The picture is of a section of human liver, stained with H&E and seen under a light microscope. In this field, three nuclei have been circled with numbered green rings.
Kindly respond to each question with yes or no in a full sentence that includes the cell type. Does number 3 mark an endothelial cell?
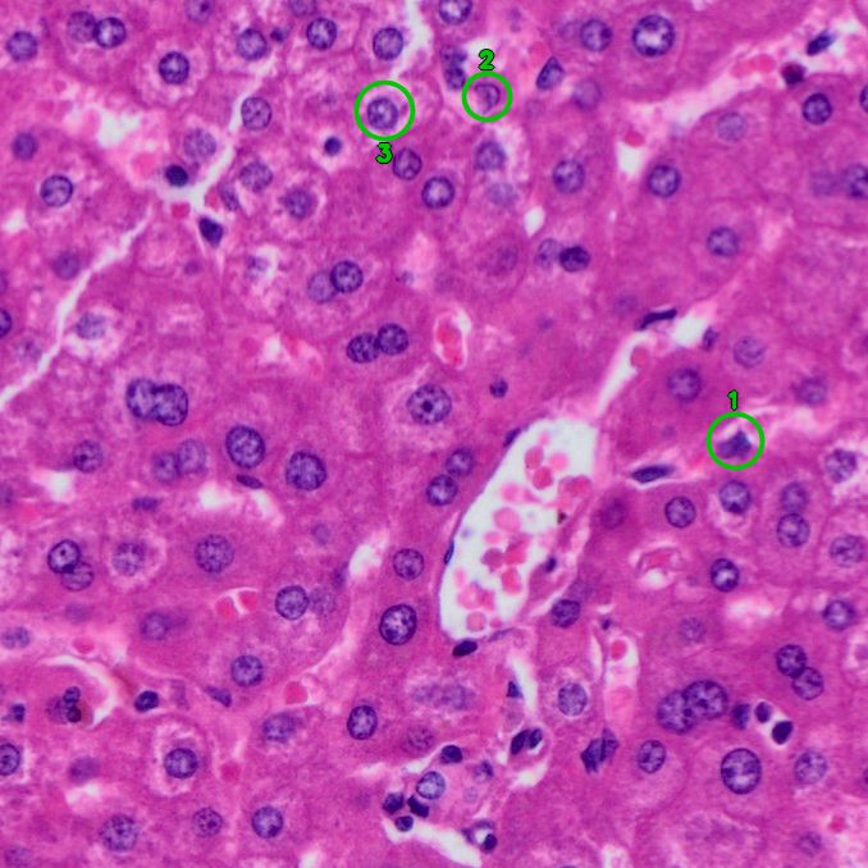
No, it's not an endothelial cell at number 3; that cell is a hepatocyte.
